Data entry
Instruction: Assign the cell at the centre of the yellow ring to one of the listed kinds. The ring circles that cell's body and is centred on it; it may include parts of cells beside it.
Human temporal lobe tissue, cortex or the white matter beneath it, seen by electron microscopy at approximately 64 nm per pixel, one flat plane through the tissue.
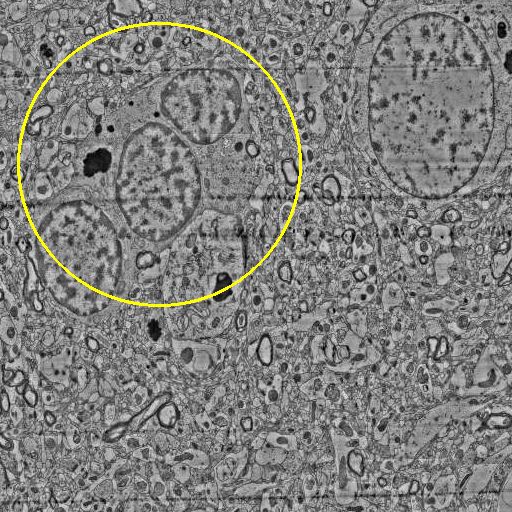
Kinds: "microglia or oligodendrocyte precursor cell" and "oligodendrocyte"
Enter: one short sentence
The centre of the ring falls on an oligodendrocyte.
